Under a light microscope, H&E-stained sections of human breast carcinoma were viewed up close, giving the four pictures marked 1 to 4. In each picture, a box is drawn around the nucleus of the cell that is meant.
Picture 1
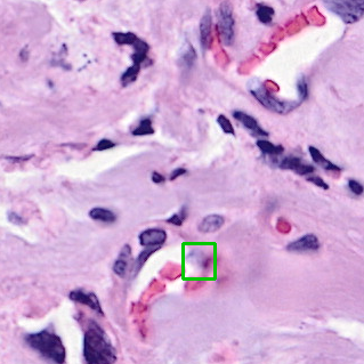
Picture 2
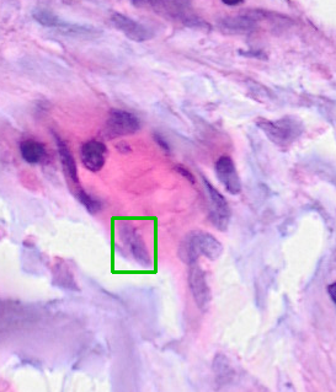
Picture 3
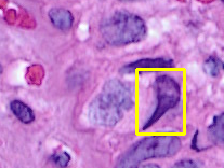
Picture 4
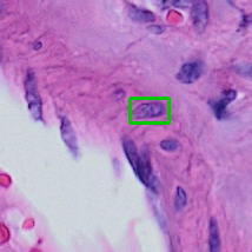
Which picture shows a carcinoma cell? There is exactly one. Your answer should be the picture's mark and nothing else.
3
